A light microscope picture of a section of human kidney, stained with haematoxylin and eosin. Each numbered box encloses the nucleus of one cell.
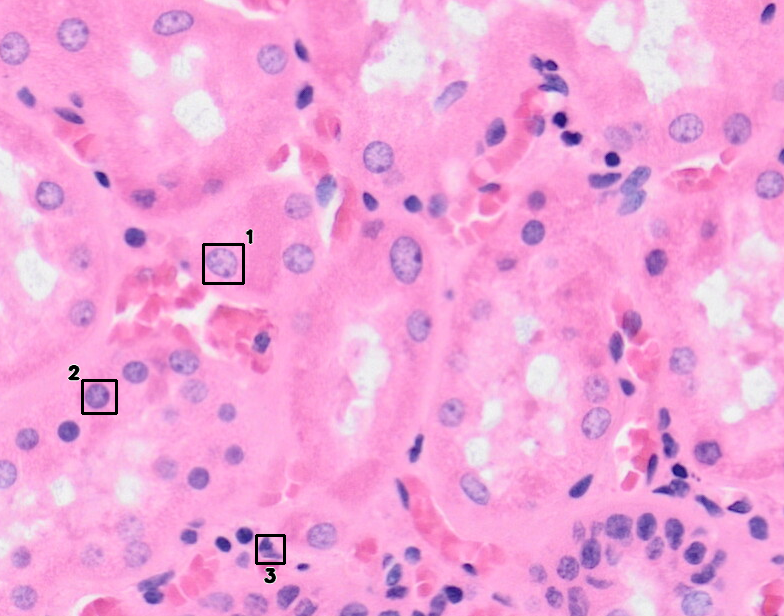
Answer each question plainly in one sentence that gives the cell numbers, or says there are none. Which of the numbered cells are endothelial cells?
Whereas cell 3 is an endothelial cell, the other numbered cells are not.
